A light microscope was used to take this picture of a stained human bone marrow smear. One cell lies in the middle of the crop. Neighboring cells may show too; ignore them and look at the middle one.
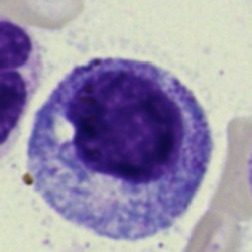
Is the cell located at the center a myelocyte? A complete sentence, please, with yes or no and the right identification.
Yes, the cell in the middle of the view is a myelocyte.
